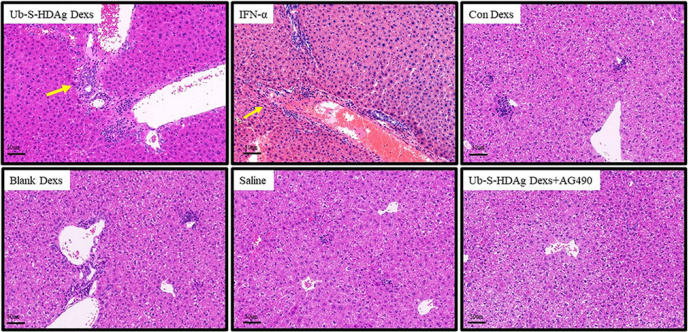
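Six fields of liver tissue stained pink and blue show sheets and cords of polygonal hepatocytes with round nuclei around pale, open vessels. In two fields, dense clusters of small dark-blue nuclei of inflammatory infiltrates gather around vessels where the yellow arrows point, and one of these fields has a vessel filled with red blood.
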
